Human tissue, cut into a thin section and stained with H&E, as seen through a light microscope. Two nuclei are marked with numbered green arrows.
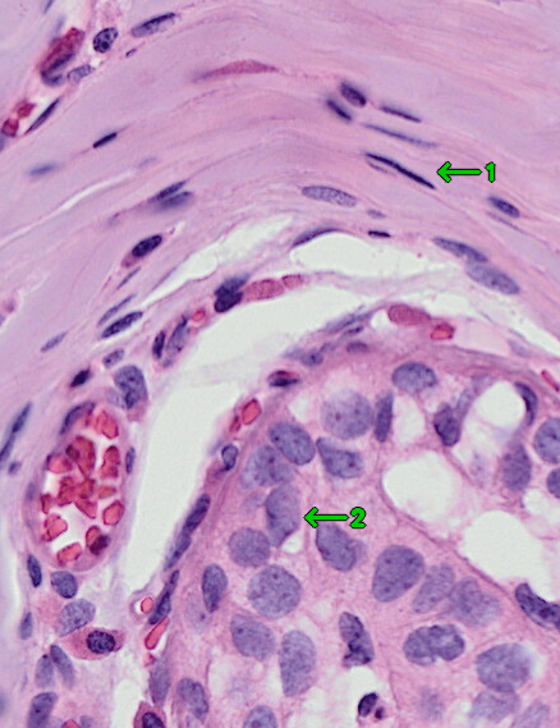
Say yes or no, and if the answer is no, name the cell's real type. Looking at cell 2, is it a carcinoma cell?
Yes.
